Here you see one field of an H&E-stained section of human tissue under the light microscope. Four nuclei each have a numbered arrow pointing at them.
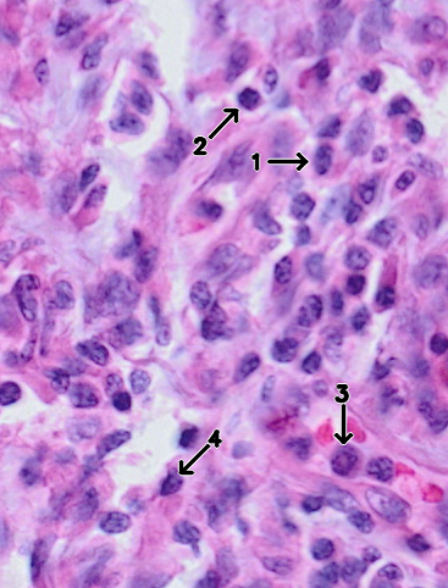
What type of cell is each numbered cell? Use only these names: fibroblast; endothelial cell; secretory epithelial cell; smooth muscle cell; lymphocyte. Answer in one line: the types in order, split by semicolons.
lymphocyte; lymphocyte; endothelial cell; lymphocyte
